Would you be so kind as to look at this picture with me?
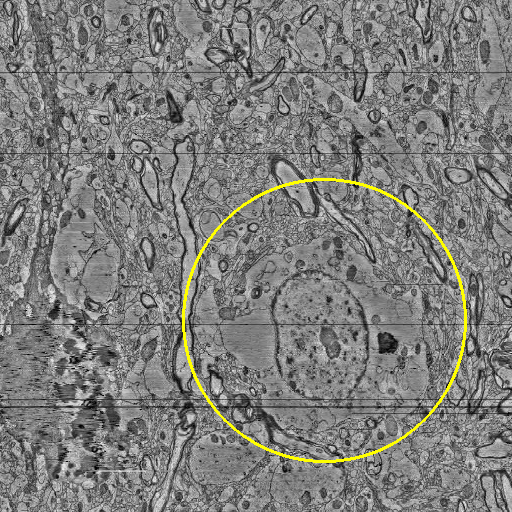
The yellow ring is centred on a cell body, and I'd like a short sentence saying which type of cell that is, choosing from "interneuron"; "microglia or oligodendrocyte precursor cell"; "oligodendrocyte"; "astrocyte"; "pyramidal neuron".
The cell body in the ring belongs to an astrocyte.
